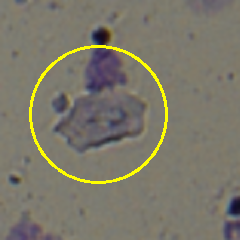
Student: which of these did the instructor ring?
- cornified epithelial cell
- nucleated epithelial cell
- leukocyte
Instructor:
The cell I ringed is a cornified epithelial cell.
